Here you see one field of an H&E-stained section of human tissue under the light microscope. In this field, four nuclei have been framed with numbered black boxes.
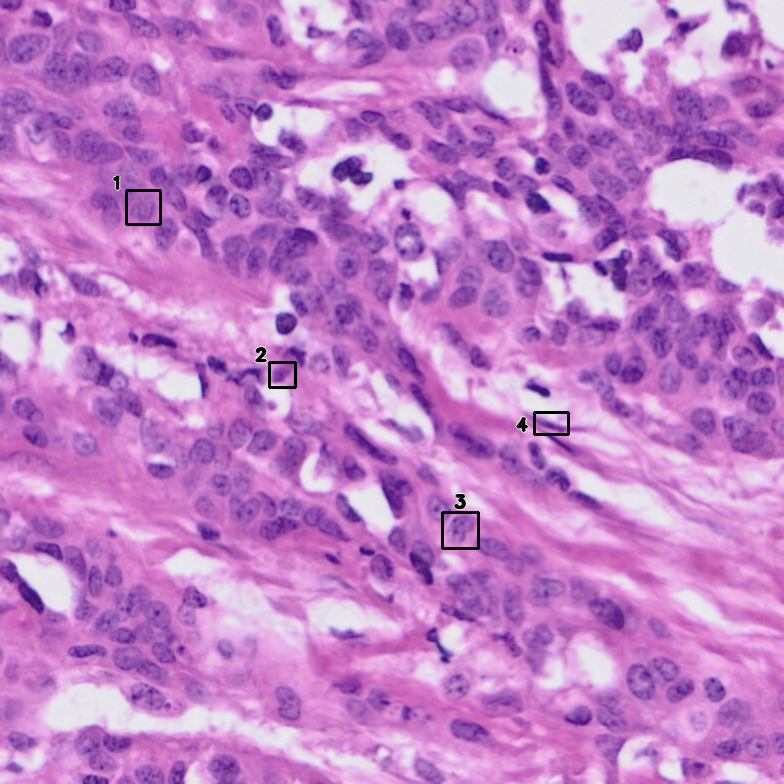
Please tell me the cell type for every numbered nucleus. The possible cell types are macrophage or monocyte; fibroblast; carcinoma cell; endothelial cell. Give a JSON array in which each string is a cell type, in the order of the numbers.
["carcinoma cell", "macrophage or monocyte", "macrophage or monocyte", "fibroblast"]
